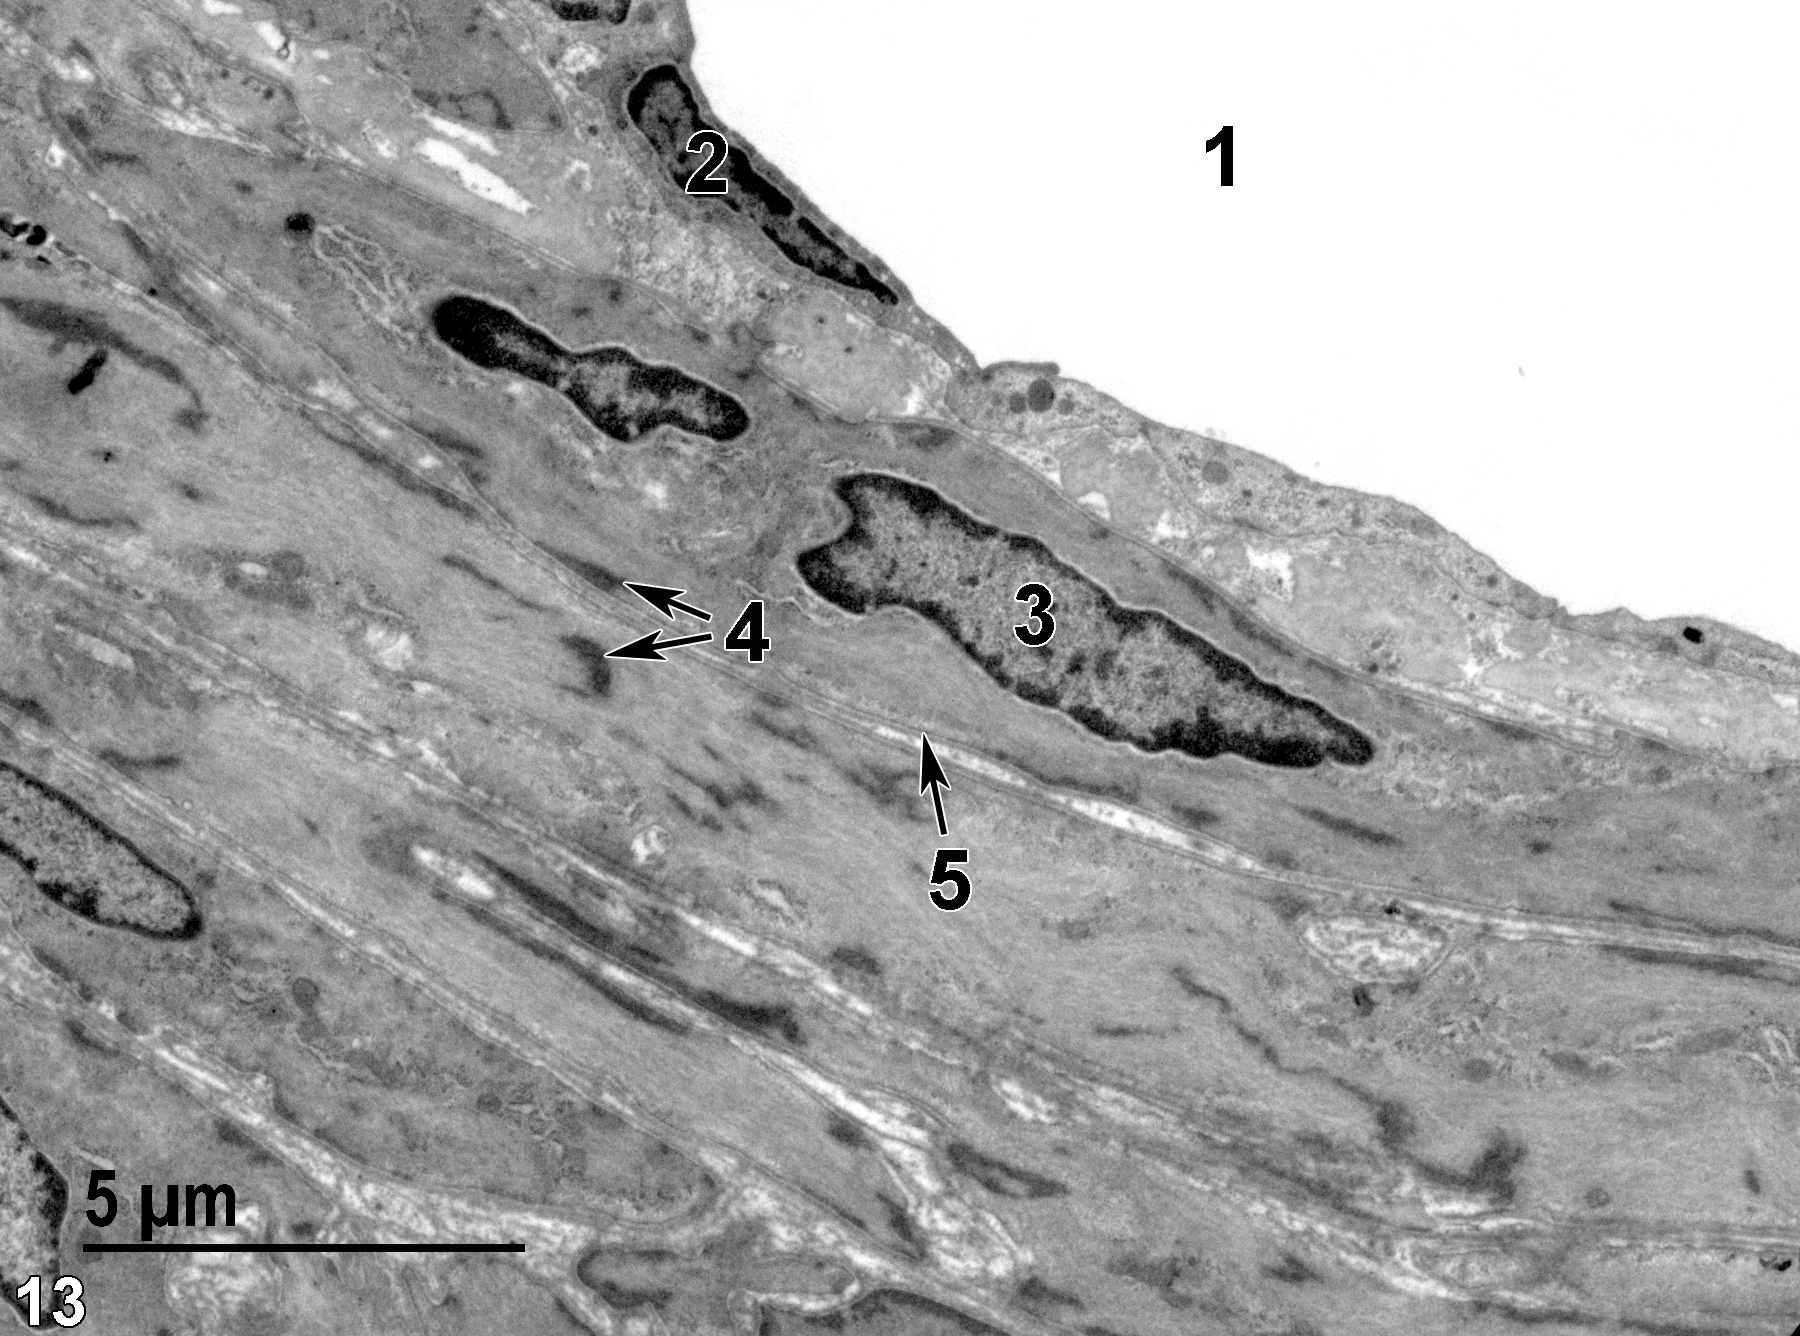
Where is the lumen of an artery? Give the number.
1.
